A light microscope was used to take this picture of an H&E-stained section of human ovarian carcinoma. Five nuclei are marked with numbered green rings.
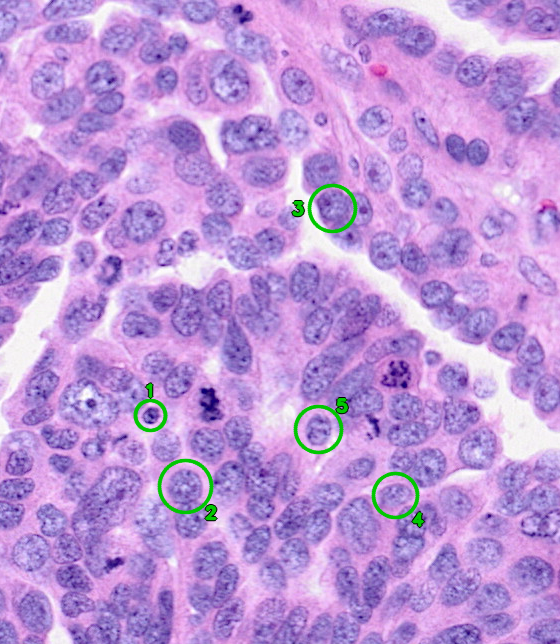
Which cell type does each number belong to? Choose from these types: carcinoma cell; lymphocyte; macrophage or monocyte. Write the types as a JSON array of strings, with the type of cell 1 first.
["lymphocyte", "carcinoma cell", "carcinoma cell", "carcinoma cell", "macrophage or monocyte"]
